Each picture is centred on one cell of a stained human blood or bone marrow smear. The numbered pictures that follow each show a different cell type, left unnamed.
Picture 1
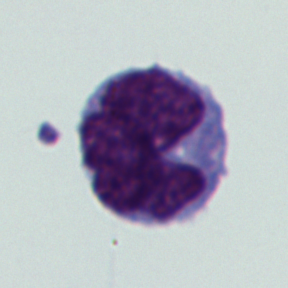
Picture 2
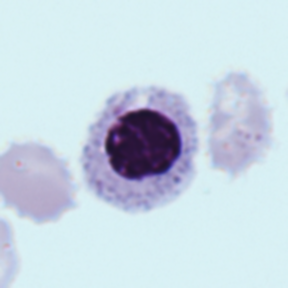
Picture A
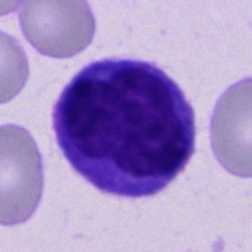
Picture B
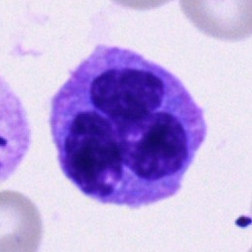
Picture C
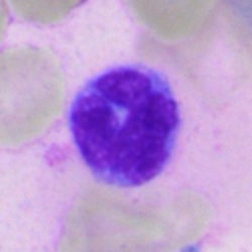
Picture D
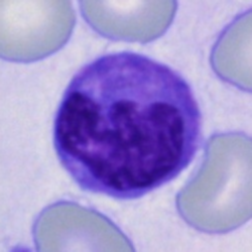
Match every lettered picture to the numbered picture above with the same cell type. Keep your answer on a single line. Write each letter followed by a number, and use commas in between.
A 1, B 1, C 1, D 1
